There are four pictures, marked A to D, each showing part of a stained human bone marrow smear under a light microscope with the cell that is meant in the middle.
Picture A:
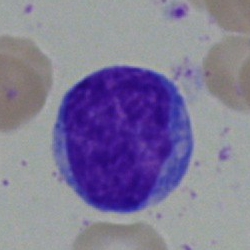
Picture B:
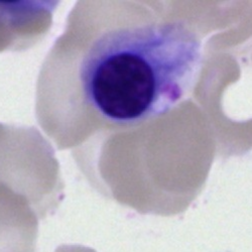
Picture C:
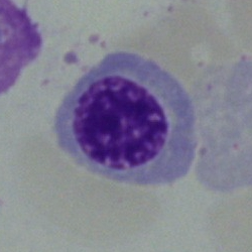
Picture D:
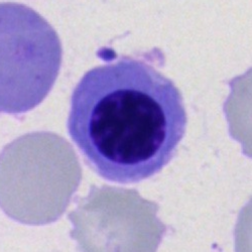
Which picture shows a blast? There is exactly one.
A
